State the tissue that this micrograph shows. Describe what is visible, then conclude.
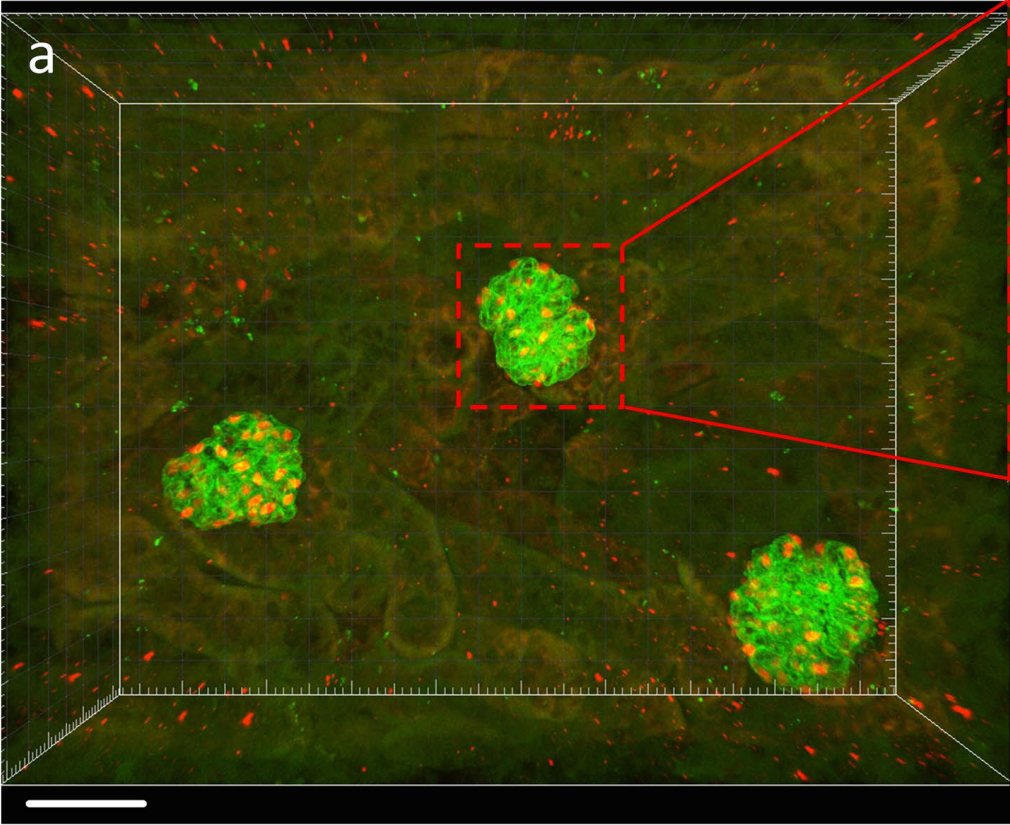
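Glomeruli. Three round, compact tufts stand out with bright green labelling. Each tuft is made of tightly coiled loops. The tufts lie scattered in dimmer surrounding tissue with tubule-like outlines.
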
